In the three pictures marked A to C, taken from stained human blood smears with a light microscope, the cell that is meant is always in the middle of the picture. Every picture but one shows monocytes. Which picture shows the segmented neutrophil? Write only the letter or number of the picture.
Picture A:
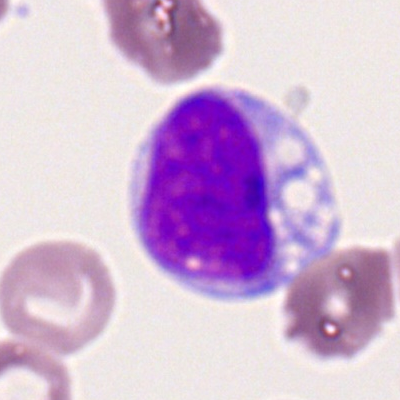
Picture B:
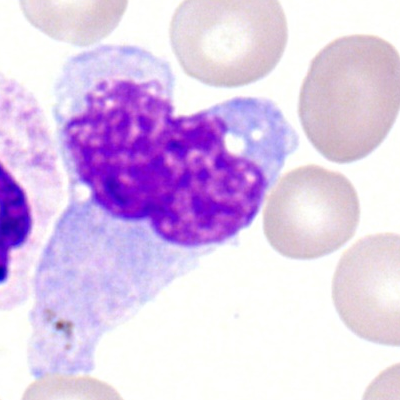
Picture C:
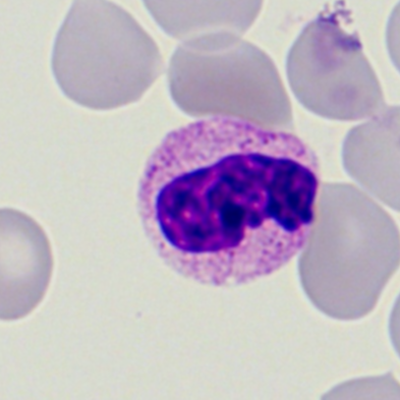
C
